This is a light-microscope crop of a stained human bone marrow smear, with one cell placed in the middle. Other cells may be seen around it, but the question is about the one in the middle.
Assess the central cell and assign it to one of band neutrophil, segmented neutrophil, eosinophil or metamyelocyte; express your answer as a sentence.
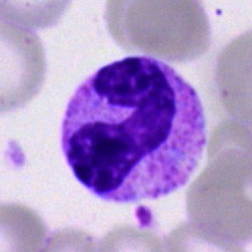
The cell at the centre of the field is a band neutrophil.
